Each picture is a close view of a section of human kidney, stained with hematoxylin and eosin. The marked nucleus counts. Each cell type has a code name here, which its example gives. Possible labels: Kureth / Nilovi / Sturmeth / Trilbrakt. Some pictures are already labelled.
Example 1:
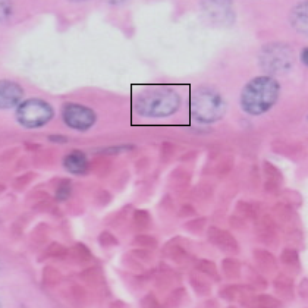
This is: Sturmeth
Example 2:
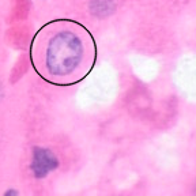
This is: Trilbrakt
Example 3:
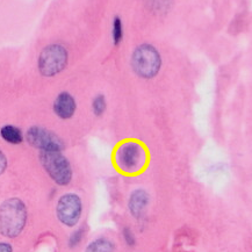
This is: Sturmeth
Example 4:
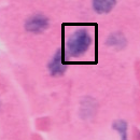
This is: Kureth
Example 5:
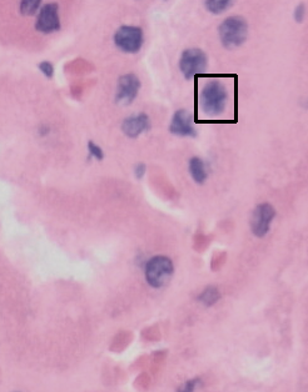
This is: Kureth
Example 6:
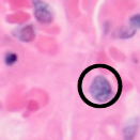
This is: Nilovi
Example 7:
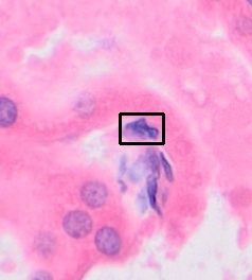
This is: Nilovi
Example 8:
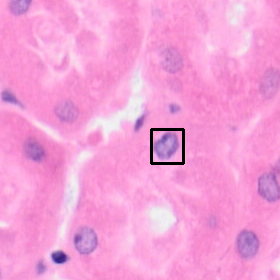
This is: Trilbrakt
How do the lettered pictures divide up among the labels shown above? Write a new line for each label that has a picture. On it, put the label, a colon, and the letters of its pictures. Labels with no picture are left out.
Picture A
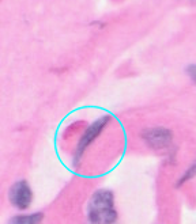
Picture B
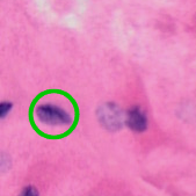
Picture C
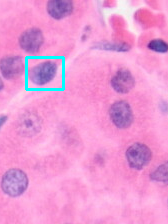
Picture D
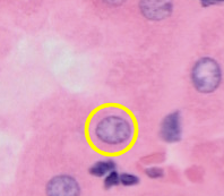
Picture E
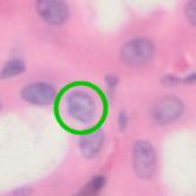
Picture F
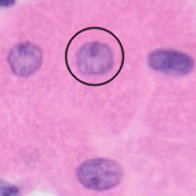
Nilovi: A, B, C
Sturmeth: E
Trilbrakt: D, F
